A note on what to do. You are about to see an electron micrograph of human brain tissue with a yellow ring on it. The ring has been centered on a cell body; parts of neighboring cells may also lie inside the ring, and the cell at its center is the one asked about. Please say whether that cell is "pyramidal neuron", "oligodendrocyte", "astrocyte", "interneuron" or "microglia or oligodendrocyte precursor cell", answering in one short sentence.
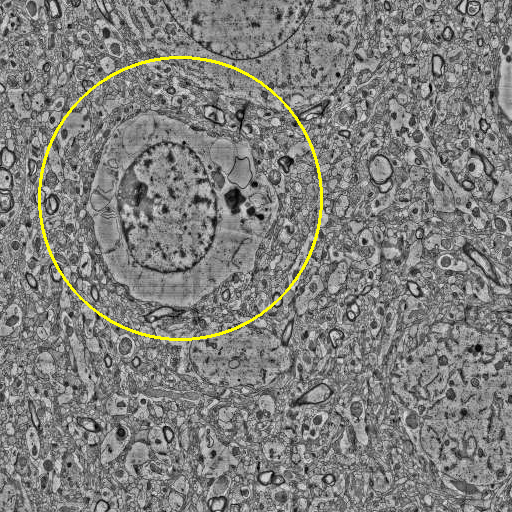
The yellow ring sits on an astrocyte.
